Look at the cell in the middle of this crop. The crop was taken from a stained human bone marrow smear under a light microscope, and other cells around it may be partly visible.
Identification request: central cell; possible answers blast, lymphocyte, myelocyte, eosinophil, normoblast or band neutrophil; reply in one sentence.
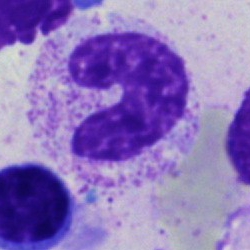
The cell around which this crop is centred is a band neutrophil.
